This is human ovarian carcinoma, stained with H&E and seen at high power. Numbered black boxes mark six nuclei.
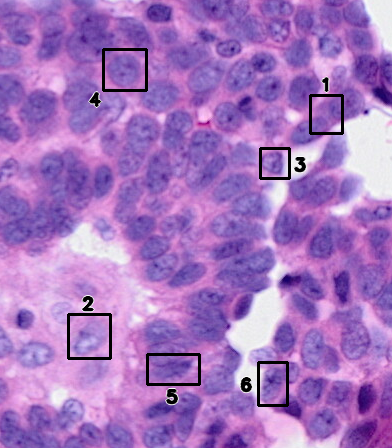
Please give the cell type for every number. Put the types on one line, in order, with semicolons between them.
carcinoma cell; fibroblast; macrophage or monocyte; carcinoma cell; carcinoma cell; carcinoma cell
